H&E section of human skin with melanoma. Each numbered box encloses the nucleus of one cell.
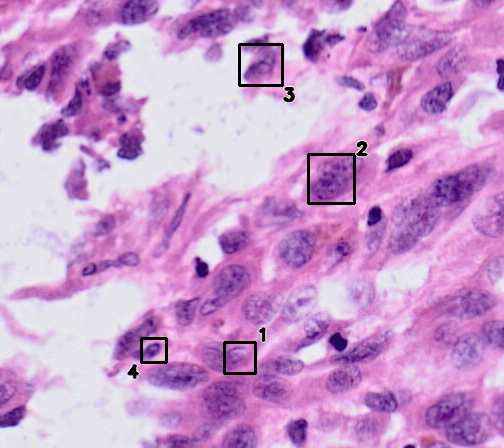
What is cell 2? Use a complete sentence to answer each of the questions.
The marked cell with the number 2 is recognised as a melanoma cell.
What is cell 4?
The cell that goes by number 4 is a lymphocyte.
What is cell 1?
The cell whose nucleus carries the number 1 is a melanoma cell.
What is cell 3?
Regarding cell 3, this one is a melanoma cell.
